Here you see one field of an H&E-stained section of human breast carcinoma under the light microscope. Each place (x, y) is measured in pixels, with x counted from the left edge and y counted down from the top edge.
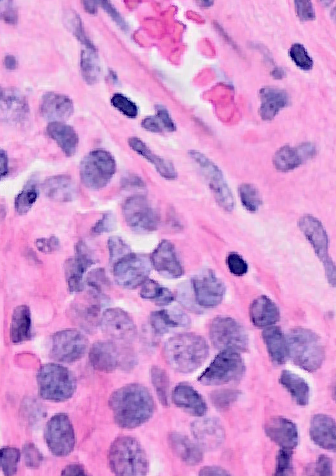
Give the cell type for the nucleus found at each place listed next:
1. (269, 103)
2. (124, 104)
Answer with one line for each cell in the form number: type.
1: endothelial cell
2: lymphocyte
